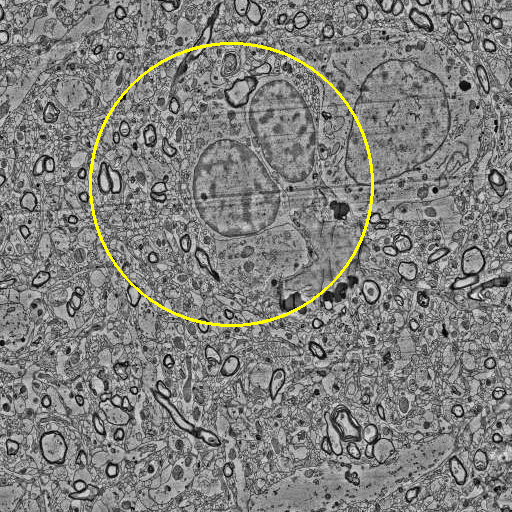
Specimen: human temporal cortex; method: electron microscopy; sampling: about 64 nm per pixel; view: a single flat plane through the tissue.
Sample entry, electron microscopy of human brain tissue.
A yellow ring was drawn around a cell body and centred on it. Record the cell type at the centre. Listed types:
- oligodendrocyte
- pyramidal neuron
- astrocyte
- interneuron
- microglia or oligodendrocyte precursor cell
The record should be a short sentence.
The cell at the ring's centre is an oligodendrocyte.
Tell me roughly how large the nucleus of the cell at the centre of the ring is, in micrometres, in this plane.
The ringed cell's nucleus measures approximately 6 by 5 micrometres in this plane.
